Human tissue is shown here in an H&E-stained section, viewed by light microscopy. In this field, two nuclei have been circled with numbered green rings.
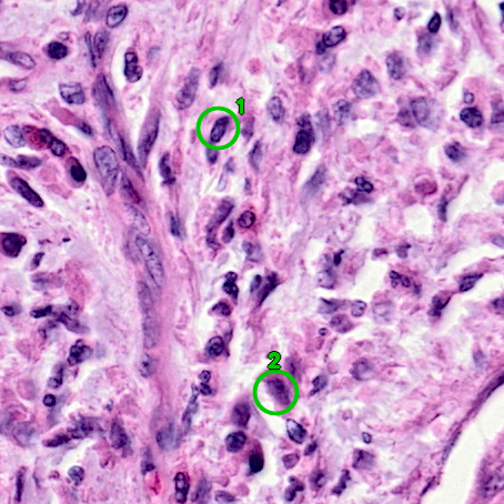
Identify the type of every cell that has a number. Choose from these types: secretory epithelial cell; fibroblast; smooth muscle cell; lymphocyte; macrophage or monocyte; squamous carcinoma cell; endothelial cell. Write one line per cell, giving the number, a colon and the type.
1: lymphocyte
2: macrophage or monocyte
